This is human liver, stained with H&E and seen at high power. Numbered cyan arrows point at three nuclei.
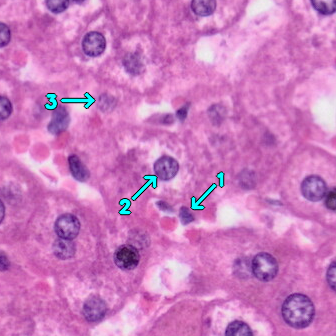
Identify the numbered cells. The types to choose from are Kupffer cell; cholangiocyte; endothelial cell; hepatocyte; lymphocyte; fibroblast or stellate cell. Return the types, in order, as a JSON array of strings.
["lymphocyte", "hepatocyte", "hepatocyte"]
